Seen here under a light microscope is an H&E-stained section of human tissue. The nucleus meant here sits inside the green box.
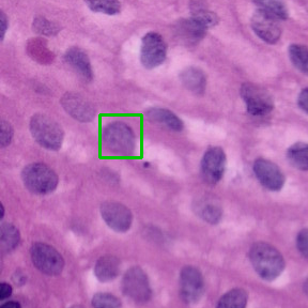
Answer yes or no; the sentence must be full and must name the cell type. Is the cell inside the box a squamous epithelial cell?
Yes, the cell inside the box is properly called a squamous epithelial cell in this section.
